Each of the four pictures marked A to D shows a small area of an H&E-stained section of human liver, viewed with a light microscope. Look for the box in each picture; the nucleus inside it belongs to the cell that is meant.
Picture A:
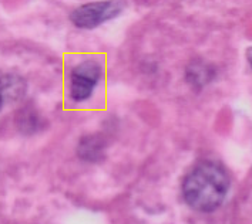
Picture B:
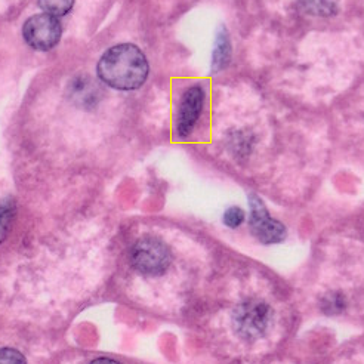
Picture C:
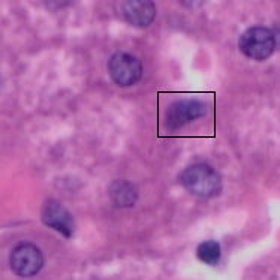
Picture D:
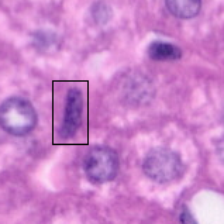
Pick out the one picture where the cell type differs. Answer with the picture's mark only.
A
